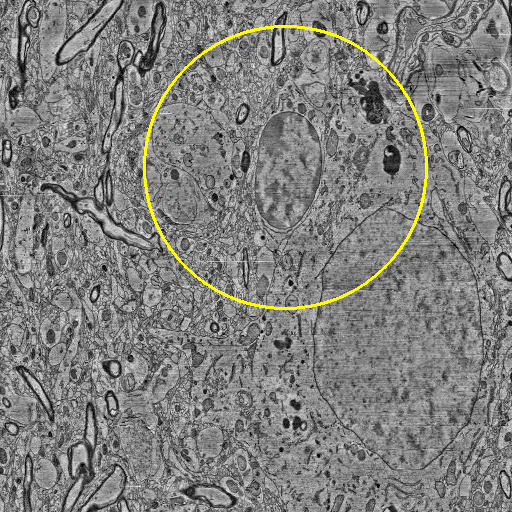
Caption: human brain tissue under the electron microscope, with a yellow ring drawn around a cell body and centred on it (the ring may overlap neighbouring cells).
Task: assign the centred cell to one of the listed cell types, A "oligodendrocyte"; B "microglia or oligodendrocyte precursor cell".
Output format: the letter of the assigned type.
B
